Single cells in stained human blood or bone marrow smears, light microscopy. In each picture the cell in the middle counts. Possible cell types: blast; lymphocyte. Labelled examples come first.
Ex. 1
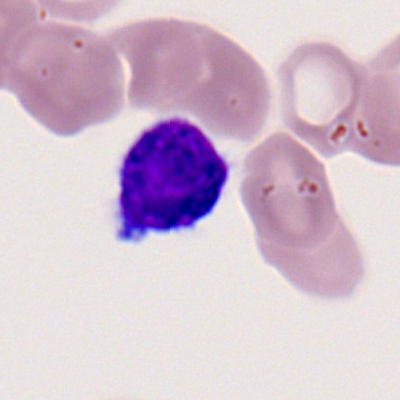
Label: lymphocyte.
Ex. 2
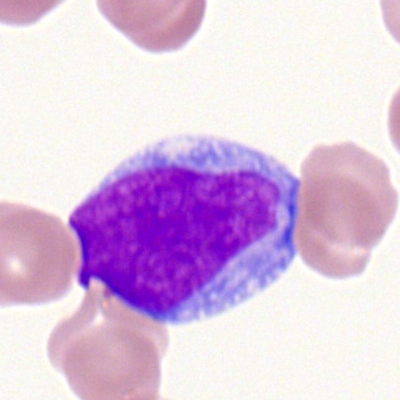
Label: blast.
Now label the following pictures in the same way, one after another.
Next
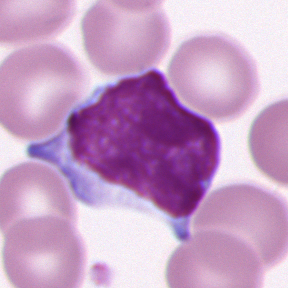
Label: lymphocyte.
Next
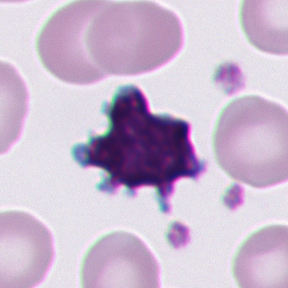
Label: lymphocyte.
